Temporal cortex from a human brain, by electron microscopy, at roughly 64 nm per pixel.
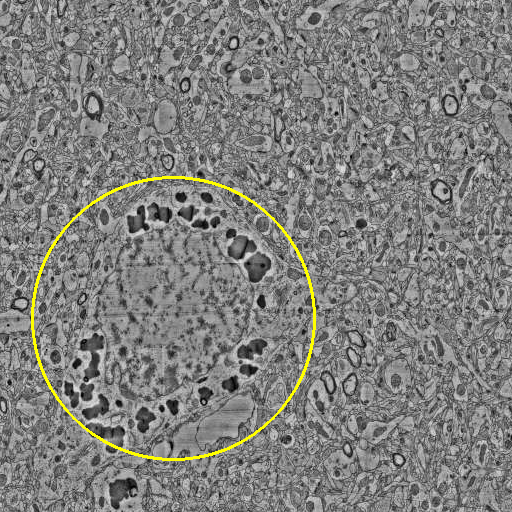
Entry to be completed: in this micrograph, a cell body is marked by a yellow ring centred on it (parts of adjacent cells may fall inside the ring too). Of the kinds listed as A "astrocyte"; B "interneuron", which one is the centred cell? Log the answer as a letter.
B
